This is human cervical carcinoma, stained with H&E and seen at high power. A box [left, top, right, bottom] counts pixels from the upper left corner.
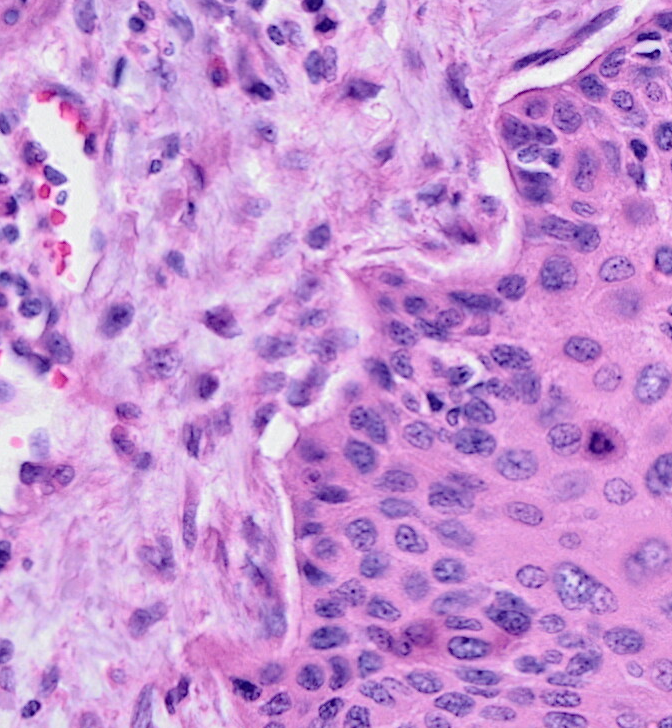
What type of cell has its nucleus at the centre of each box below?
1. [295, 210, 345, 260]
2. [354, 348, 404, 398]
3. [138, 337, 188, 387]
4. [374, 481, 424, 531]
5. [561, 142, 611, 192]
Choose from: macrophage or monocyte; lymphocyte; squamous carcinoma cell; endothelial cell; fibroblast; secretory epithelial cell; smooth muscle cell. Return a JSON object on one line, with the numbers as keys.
{"1": "macrophage or monocyte", "2": "squamous carcinoma cell", "3": "fibroblast", "4": "squamous carcinoma cell", "5": "squamous carcinoma cell"}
